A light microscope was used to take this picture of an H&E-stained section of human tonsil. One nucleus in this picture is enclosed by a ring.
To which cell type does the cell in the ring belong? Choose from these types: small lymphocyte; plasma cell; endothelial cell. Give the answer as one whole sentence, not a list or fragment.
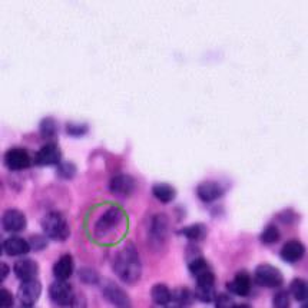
At the level of cell identity, the cell in the ring is an endothelial cell.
